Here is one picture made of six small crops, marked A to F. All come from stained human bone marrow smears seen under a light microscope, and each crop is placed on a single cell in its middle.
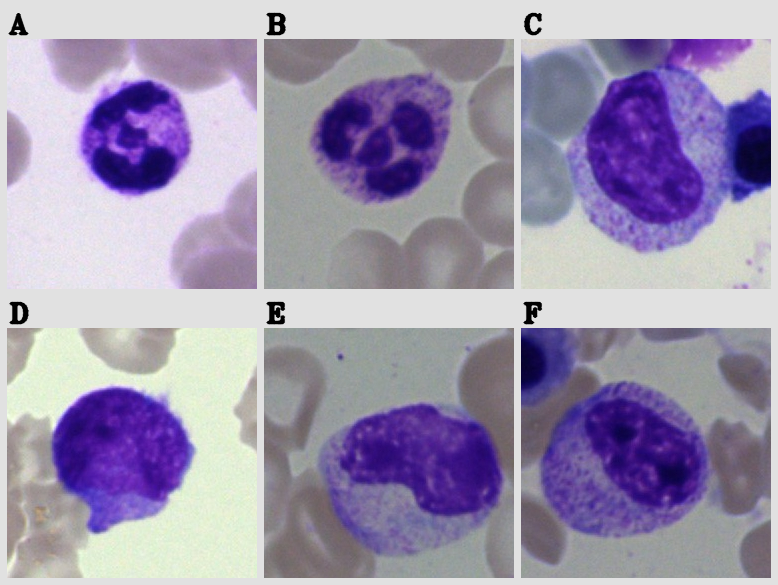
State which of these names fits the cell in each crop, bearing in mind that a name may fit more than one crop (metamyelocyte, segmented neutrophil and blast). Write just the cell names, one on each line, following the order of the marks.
segmented neutrophil
segmented neutrophil
metamyelocyte
blast
metamyelocyte
metamyelocyte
